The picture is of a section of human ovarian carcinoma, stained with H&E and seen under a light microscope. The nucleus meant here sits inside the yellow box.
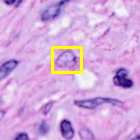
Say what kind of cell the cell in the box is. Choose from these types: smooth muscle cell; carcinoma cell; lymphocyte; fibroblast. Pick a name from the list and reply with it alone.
fibroblast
